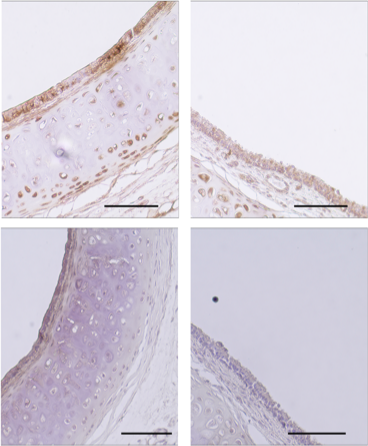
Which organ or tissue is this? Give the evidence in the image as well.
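A thin surface epithelium lines one side of the cartilage. Loose connective tissue lies between the epithelium and the cartilage. The answer: tracheae.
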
